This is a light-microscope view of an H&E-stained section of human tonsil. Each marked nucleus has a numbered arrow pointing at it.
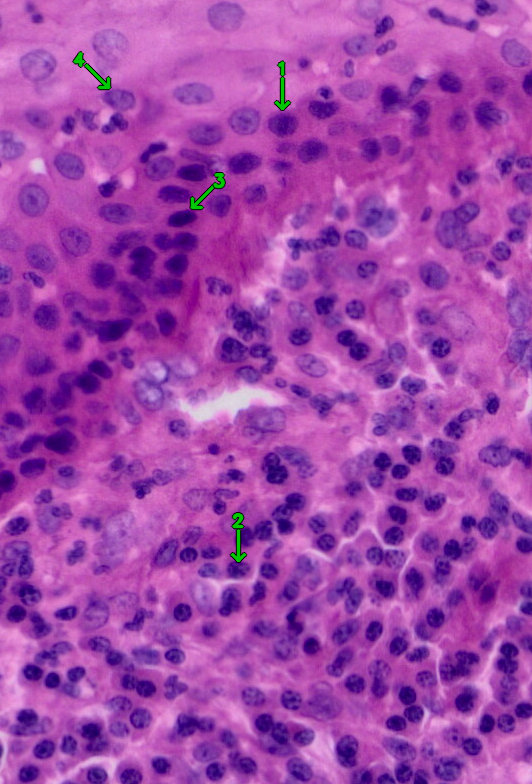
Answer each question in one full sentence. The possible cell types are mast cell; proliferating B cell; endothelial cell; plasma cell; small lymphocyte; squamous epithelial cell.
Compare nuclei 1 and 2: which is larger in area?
It is nucleus 1, which covers about 1.5 times the area of nucleus 2.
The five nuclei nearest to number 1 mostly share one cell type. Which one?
Squamous epithelial cells account for more than half of the five nuclei nearest to number 1.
